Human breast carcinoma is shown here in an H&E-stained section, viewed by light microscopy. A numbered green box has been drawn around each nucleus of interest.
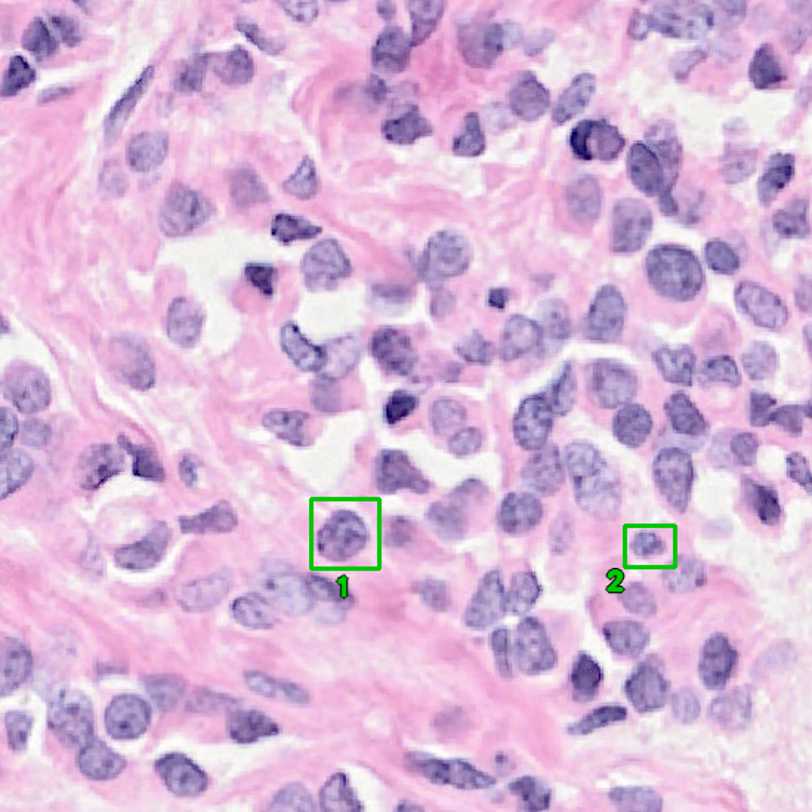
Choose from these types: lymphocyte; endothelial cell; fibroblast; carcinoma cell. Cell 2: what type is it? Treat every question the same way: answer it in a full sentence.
Cell 2, as marked in the section, is a lymphocyte.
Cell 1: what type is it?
In this section, the cell numbered 1 is a carcinoma cell.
